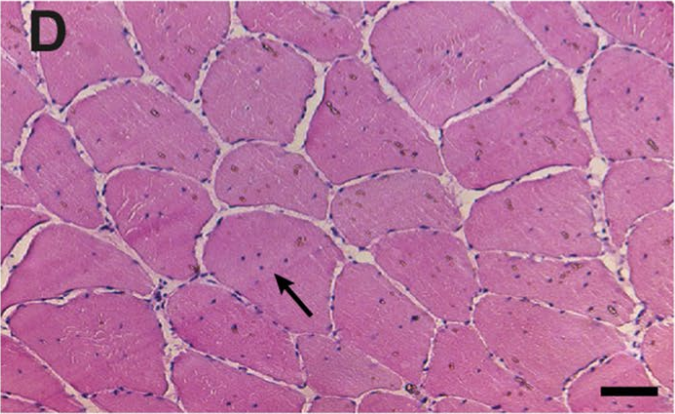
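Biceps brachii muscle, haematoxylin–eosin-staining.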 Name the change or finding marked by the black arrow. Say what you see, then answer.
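Central placed myonuclei. The fibre at the arrow has dark nuclei lying inside the fibre rather than at its edge. Many other fibres also show nuclei within their interior.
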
